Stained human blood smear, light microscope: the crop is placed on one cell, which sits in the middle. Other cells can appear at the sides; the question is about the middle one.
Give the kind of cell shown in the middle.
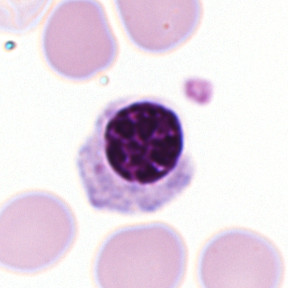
erythroblast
